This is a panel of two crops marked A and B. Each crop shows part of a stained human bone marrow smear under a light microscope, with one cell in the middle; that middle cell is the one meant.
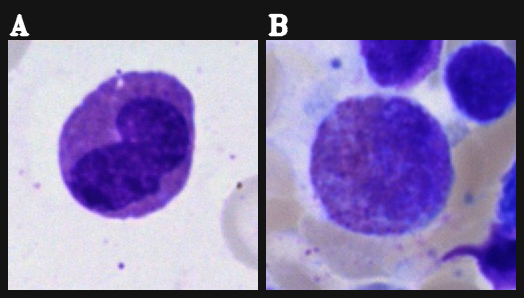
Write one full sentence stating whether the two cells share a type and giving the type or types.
Yes, these two crops both show eosinophils.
